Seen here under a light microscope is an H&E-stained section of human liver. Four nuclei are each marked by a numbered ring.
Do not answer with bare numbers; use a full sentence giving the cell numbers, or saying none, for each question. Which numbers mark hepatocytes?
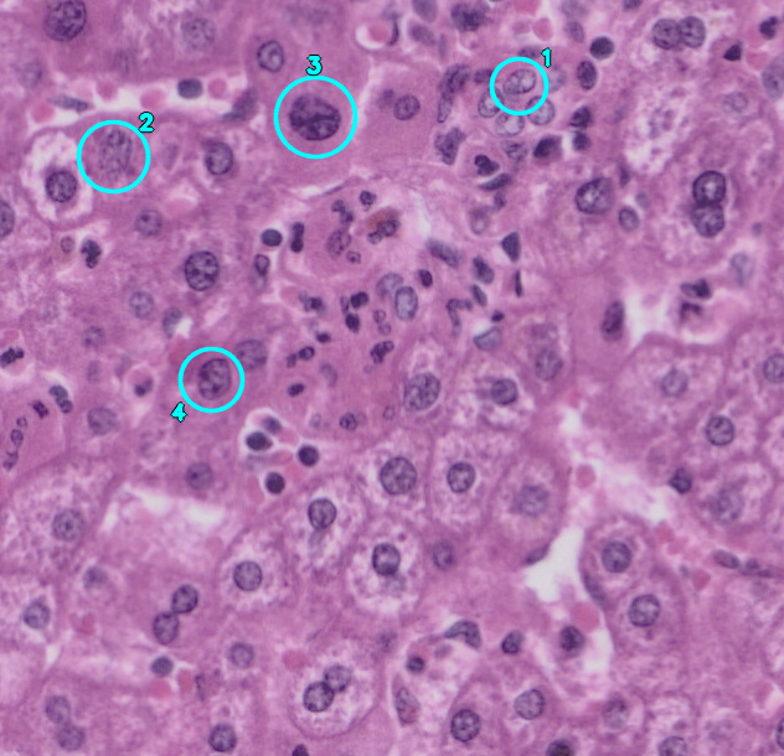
The cells the numbers 2, 3 and 4 point to are hepatocytes.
